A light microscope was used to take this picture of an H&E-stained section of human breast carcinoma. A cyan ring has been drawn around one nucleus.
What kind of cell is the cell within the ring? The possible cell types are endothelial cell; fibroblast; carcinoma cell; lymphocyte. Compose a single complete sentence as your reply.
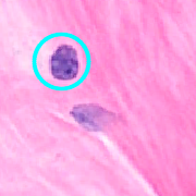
Typologically, the cell within the ring is a lymphocyte in this section.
